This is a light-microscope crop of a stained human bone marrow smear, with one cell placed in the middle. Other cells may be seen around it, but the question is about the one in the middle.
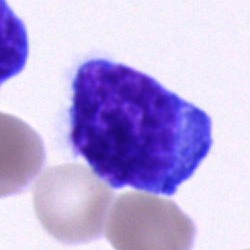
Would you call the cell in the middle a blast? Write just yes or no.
yes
